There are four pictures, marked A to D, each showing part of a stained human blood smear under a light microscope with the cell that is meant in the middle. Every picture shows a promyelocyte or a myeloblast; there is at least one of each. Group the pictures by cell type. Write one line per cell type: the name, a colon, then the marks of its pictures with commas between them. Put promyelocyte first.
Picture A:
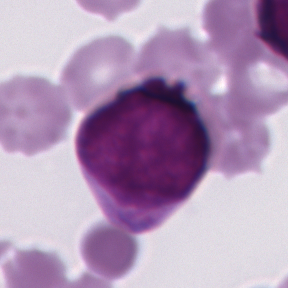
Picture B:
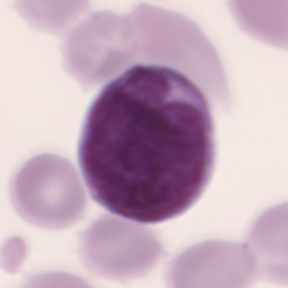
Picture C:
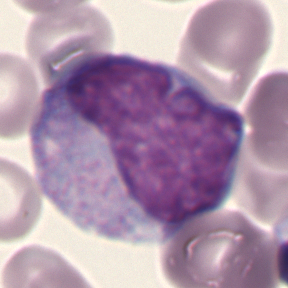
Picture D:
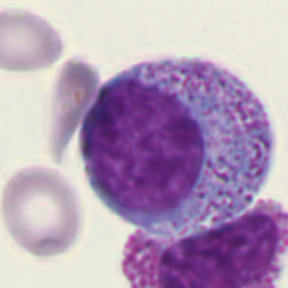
promyelocyte: C, D
myeloblast: A, B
